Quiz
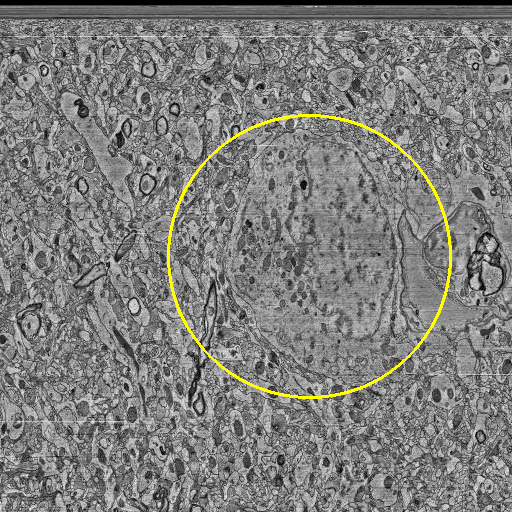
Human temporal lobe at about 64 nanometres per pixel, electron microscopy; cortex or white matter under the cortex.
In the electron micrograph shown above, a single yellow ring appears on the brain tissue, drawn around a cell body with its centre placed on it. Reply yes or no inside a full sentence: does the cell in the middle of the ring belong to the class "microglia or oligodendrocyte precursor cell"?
No, the cell at the centre of the ring in the picture belongs to a different class.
